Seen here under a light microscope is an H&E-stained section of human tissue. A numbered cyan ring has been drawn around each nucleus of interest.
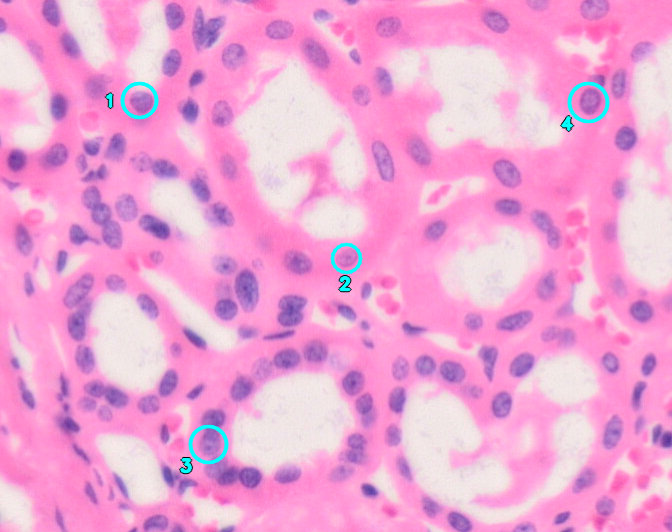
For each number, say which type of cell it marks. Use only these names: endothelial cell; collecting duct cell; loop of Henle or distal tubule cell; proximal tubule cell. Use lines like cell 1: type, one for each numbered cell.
cell 1: loop of Henle or distal tubule cell
cell 2: proximal tubule cell
cell 3: collecting duct cell
cell 4: proximal tubule cell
